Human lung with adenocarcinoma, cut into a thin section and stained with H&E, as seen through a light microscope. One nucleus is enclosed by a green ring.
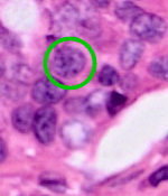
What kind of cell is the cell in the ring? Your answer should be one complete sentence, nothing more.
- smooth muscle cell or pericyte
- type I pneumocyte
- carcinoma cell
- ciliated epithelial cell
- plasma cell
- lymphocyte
As far as its identity is concerned, the cell in the ring is a ciliated epithelial cell.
